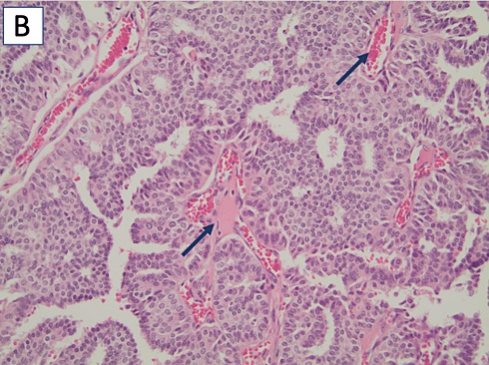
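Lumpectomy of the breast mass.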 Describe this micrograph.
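This nodule consists of slender fibrovascular cores, pink stromal strands holding vessels packed with red blood cells, covered by crowded neoplastic epithelial cells. The cells are monomorphic, with round-to-oval purple nuclei of similar size and scant cytoplasm. They are arranged in solid sheets pierced by small rounded, punched-out spaces, giving a cribriform pattern.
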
